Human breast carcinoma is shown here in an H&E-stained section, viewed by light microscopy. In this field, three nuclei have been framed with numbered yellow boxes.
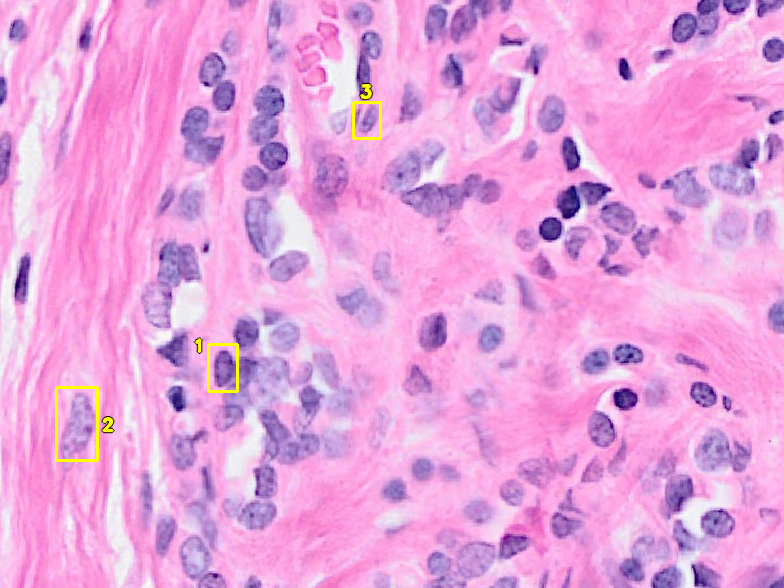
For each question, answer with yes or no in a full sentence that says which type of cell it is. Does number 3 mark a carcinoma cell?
No, cell 3 is an endothelial cell, not a carcinoma cell.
